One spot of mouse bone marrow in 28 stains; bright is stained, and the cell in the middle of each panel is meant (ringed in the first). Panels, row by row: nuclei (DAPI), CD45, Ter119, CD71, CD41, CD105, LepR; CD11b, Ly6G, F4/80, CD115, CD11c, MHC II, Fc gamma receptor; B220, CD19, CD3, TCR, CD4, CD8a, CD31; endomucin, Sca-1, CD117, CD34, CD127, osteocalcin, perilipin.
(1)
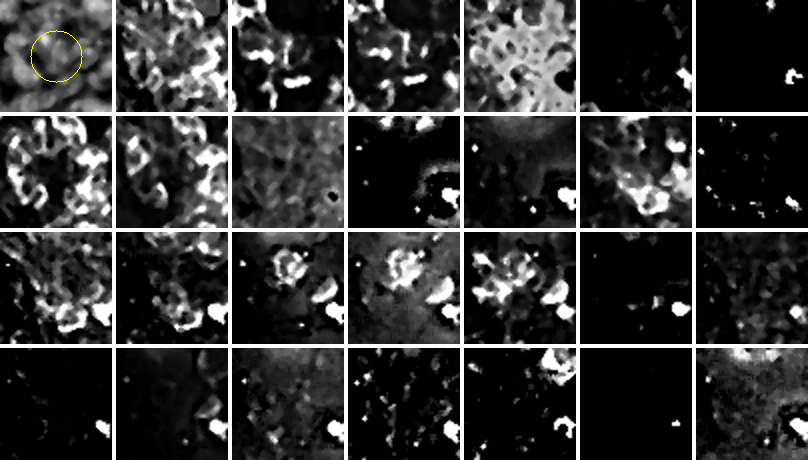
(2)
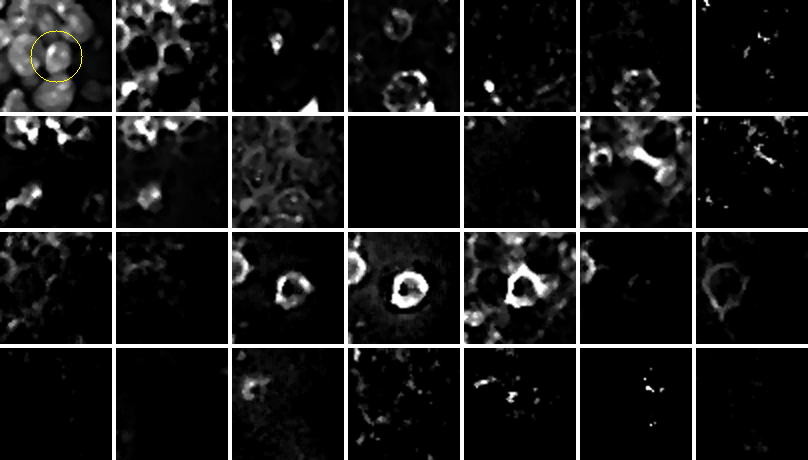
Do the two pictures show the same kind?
Yes, both are CD4 T cells.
